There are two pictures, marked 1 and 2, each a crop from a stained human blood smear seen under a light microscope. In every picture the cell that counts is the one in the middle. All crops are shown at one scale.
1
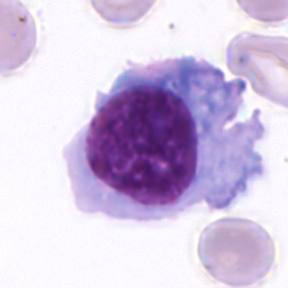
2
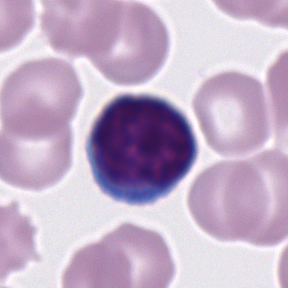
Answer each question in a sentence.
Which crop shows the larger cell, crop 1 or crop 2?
Larger is the cell in crop 1, at roughly 2.5 times the area of the other.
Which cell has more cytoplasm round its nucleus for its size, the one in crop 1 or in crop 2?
It is the cell in crop 1 that is filled less by its nucleus.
